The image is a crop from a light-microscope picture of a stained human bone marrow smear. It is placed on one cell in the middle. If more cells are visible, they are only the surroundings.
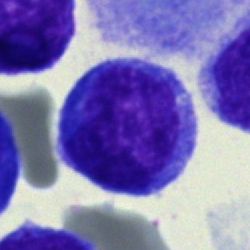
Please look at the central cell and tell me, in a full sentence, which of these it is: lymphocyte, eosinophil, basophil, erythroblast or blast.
The middle position in this crop is taken by a blast.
